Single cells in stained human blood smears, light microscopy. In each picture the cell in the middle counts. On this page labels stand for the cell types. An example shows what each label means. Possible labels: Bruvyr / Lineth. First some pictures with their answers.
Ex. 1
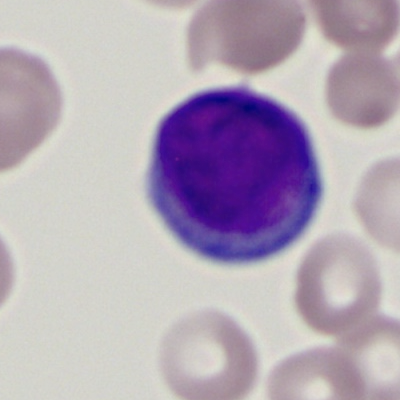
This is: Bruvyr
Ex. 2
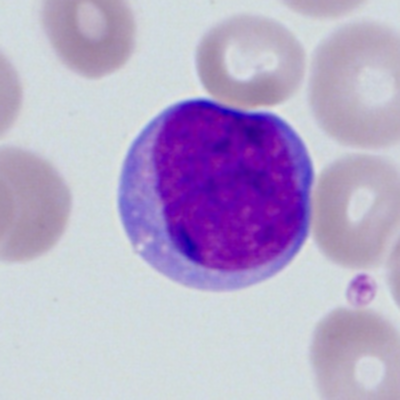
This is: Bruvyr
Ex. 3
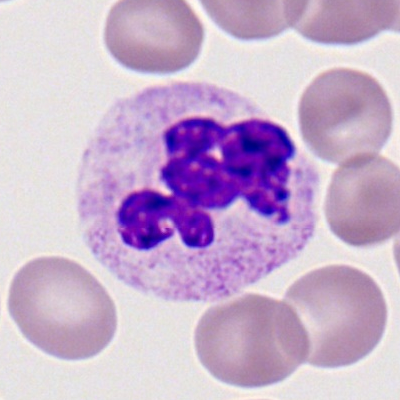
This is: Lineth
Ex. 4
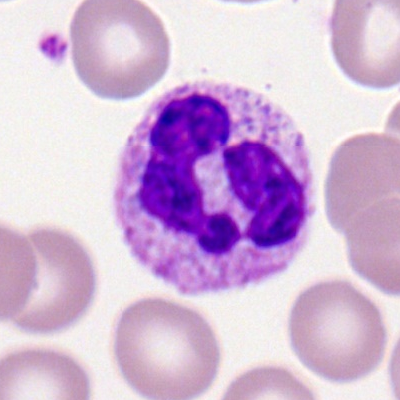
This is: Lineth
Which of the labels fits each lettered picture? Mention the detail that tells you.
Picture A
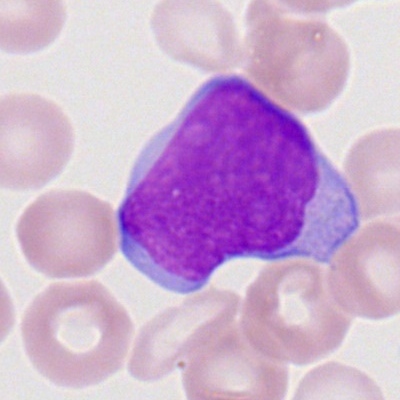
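Label: Bruvyr. The nucleus fills most of the cell.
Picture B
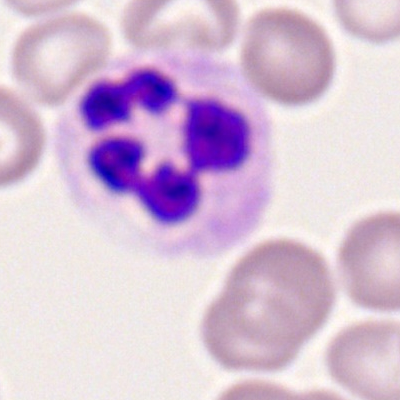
Label: Lineth. A wide rim of pale pinkish-lilac cytoplasm surrounds the nucleus.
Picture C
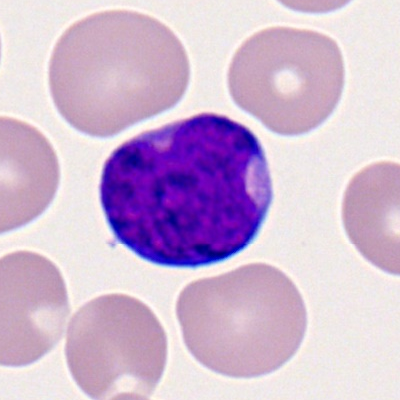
Label: Bruvyr. Cytoplasm is scant, seen only as small pale patches at the cell edge, most clearly on the right.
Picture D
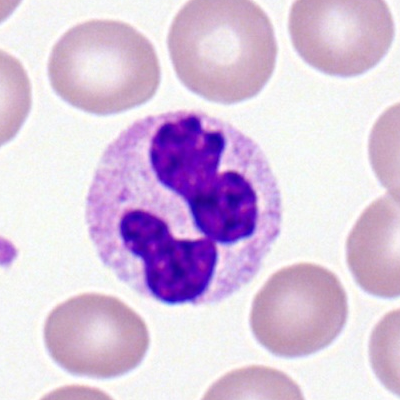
Label: Lineth. The cytoplasm is plentiful and pale pinkish-lilac.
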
